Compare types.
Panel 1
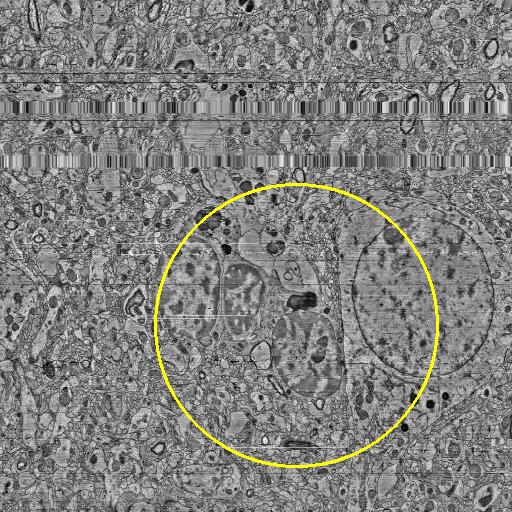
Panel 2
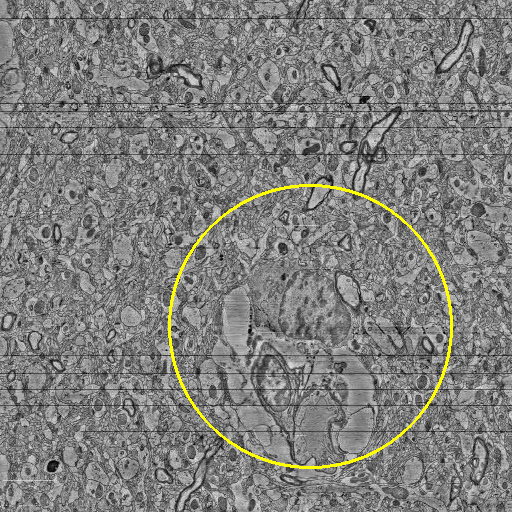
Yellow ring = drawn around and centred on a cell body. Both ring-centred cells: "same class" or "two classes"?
same class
